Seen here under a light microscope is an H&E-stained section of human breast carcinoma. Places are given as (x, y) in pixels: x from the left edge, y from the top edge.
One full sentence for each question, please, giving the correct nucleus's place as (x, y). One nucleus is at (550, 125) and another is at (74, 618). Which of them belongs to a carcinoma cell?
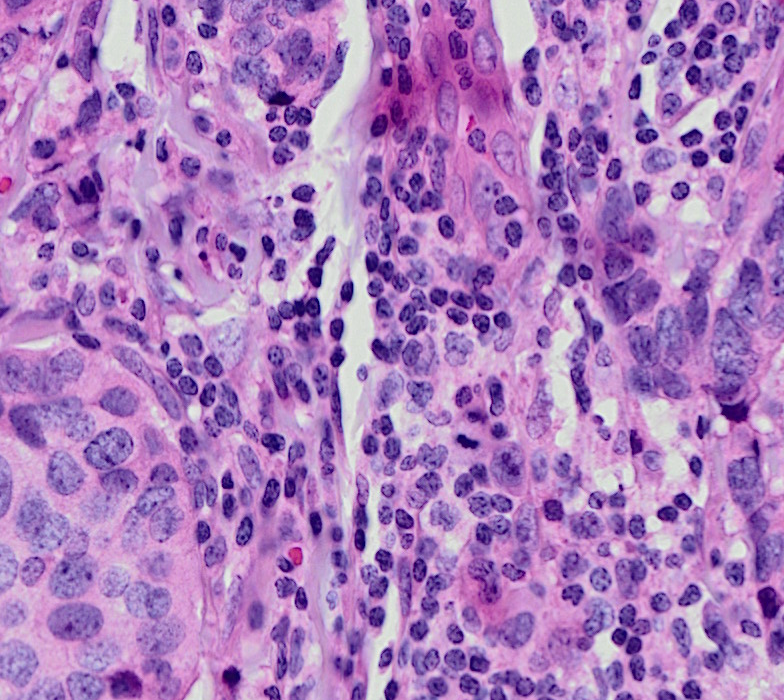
Of the two nuclei, it is the one at (74, 618) that lies within a carcinoma cell.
